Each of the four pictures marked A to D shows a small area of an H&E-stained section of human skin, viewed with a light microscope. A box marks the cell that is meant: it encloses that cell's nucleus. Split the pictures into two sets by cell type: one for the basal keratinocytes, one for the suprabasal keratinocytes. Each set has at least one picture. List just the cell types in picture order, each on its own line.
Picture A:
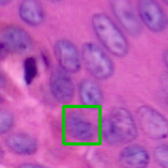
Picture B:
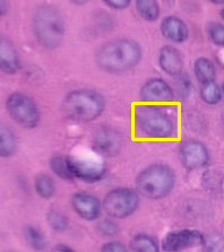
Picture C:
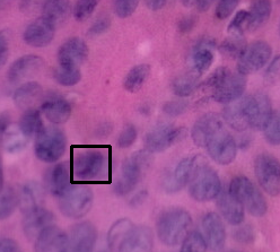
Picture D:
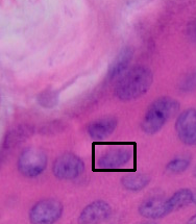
basal keratinocyte
suprabasal keratinocyte
basal keratinocyte
suprabasal keratinocyte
